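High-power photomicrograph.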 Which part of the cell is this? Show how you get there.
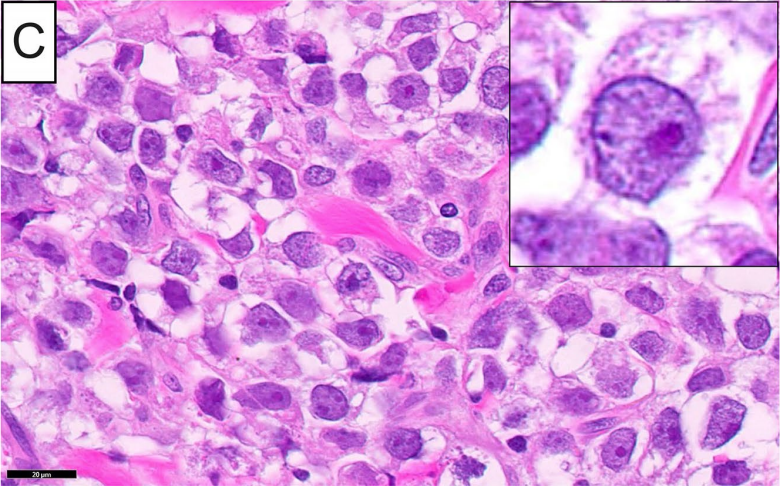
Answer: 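Optically clear, pale or lightly eosinophilic granular cytoplasm. Many cells have clear or very pale cytoplasm around the nucleus. Some cytoplasm is faintly pink and granular.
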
